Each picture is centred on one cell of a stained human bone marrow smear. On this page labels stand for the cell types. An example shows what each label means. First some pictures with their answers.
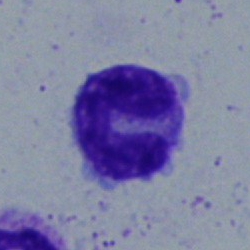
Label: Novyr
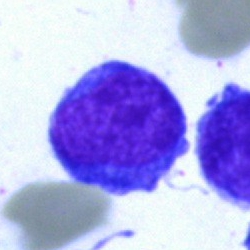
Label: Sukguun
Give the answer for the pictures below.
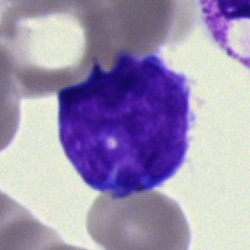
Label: Sukguun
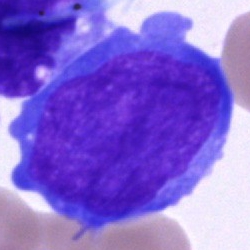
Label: Sukguun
